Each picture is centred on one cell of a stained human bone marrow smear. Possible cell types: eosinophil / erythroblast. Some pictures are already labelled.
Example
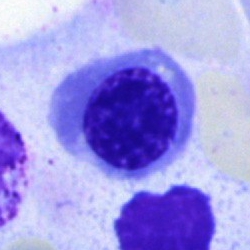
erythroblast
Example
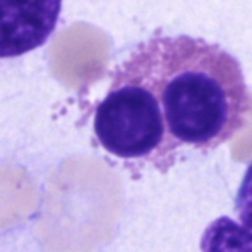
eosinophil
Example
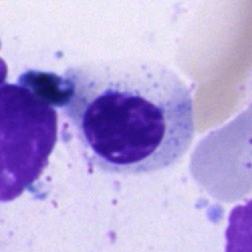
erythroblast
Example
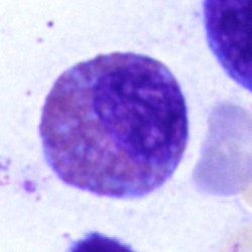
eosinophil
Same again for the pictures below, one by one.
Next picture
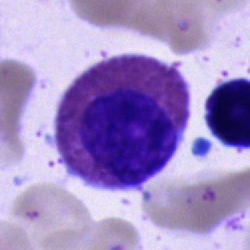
eosinophil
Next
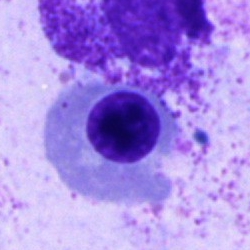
erythroblast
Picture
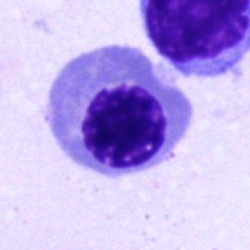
erythroblast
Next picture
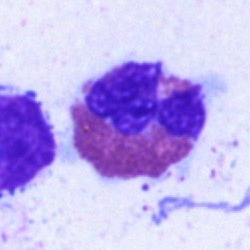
eosinophil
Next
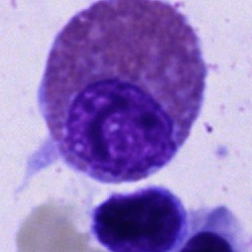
eosinophil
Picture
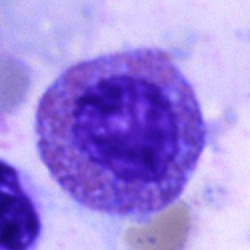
eosinophil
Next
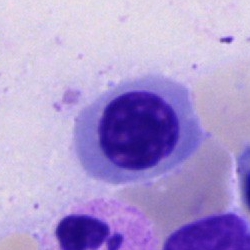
erythroblast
